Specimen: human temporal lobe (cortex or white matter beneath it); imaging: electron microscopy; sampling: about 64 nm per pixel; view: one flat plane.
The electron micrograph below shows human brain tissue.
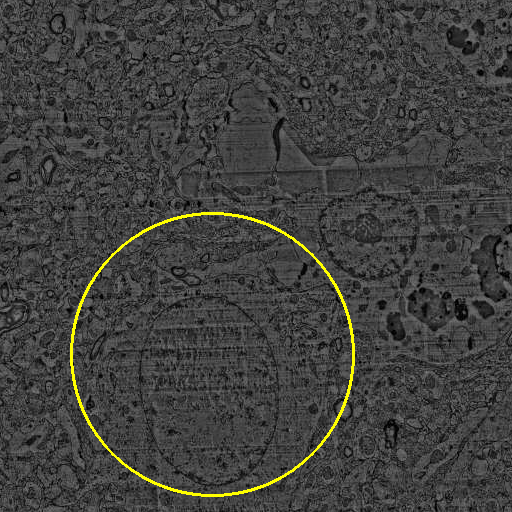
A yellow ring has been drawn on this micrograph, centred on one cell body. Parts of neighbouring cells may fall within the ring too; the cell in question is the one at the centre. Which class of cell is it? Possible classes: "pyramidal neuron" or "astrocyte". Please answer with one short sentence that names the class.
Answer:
In the centre of the ring sits a pyramidal neuron.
